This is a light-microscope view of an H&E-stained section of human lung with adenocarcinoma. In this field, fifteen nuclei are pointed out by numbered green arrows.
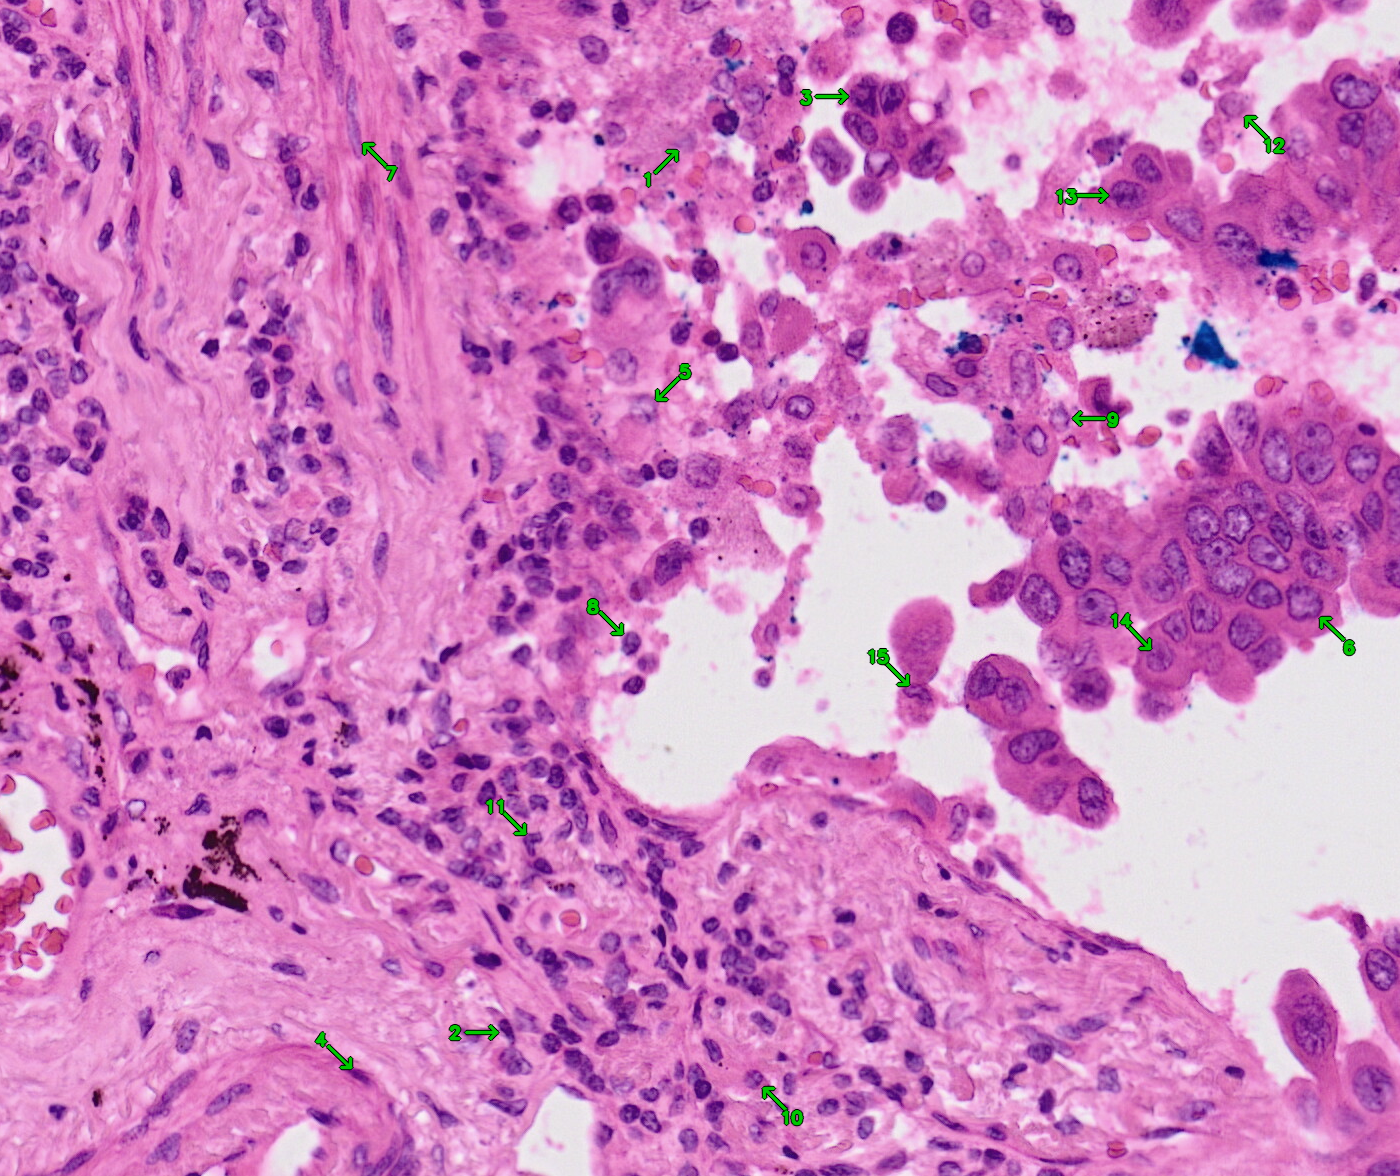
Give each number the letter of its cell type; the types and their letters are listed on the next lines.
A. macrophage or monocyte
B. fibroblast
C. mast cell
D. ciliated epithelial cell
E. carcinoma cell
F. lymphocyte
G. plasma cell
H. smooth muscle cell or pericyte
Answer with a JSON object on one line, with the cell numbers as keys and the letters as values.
{"1": "A", "2": "G", "3": "E", "4": "H", "5": "A", "6": "E", "7": "H", "8": "F", "9": "A", "10": "C", "11": "F", "12": "A", "13": "E", "14": "E", "15": "A"}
